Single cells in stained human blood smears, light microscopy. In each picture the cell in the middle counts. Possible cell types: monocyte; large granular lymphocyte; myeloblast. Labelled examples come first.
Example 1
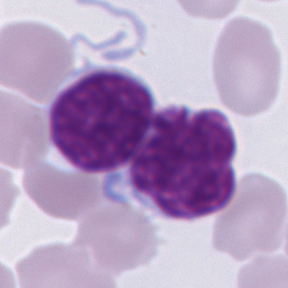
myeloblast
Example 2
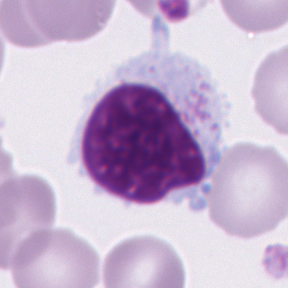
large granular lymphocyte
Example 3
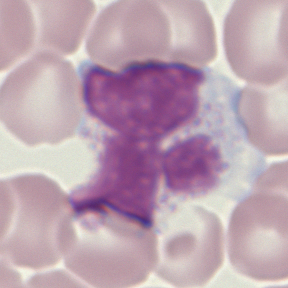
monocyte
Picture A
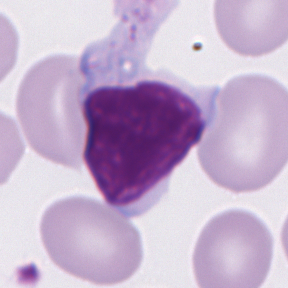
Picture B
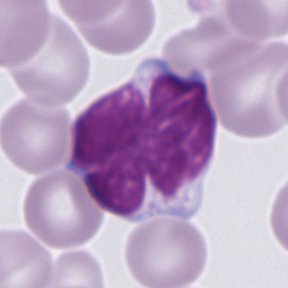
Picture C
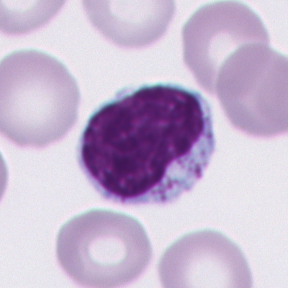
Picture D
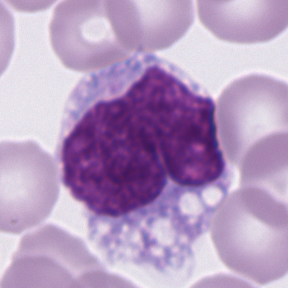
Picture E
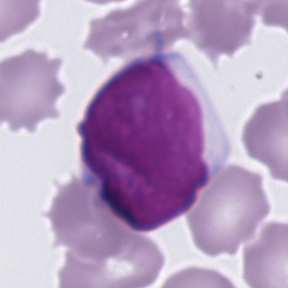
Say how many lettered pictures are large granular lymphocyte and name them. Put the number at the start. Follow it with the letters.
3, namely A, B, C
